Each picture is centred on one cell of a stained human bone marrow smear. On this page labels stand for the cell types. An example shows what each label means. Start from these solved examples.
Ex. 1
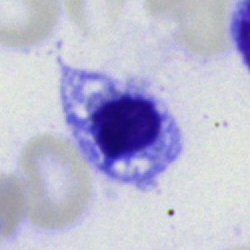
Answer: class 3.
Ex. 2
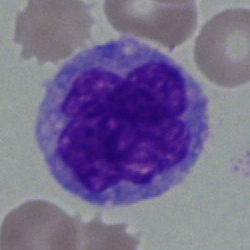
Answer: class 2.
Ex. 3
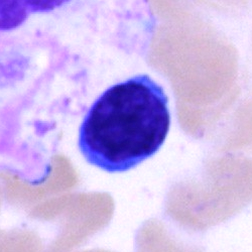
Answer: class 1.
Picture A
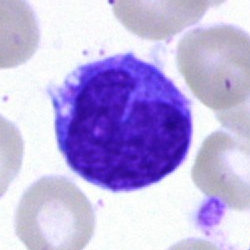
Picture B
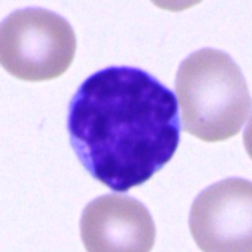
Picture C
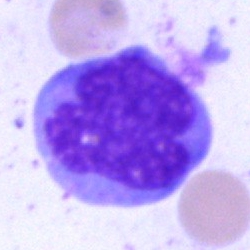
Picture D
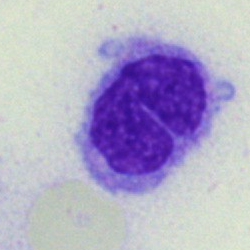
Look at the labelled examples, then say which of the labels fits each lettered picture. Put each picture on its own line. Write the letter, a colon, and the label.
A: class 2.
B: class 1.
C: class 2.
D: class 2.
